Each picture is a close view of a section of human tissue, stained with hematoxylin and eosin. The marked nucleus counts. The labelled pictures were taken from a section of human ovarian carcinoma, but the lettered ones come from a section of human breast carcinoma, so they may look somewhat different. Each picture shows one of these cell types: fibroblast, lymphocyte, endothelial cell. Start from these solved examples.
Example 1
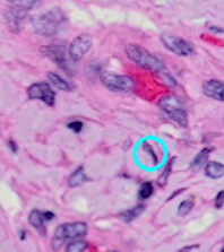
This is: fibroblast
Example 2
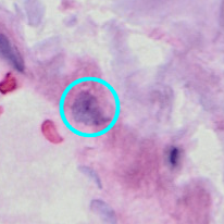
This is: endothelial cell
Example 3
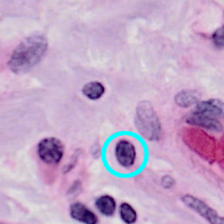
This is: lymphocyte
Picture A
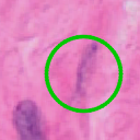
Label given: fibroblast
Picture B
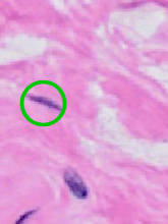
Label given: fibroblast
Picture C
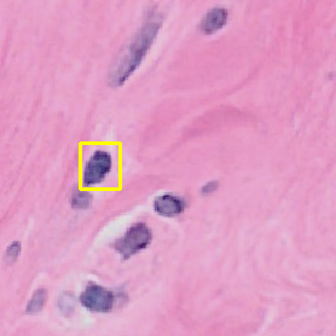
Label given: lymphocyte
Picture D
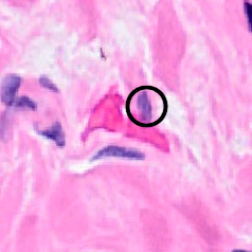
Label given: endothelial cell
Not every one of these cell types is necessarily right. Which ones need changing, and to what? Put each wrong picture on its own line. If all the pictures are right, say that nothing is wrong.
None of the labels needs changing.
